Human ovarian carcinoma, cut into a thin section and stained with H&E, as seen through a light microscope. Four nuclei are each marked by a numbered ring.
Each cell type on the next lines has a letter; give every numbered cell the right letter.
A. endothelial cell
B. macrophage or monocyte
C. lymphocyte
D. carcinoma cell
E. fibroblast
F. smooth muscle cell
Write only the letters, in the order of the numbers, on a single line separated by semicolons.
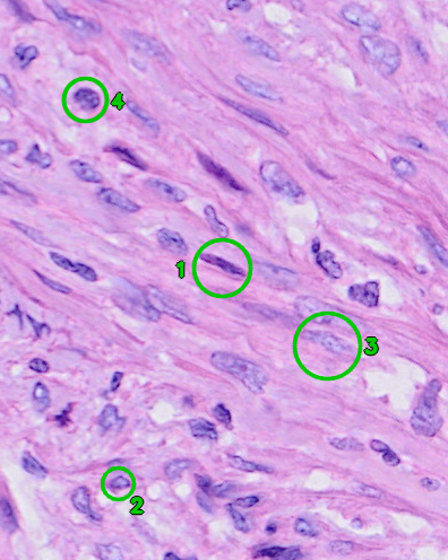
E; E; E; C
